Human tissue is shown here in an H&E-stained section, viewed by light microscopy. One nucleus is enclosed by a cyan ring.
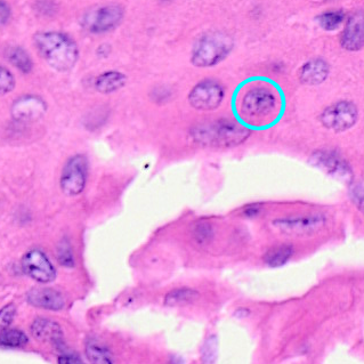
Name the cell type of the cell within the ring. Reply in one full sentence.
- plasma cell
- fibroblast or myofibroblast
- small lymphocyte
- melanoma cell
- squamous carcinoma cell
In the context of this tissue, the cell within the ring is a squamous carcinoma cell.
